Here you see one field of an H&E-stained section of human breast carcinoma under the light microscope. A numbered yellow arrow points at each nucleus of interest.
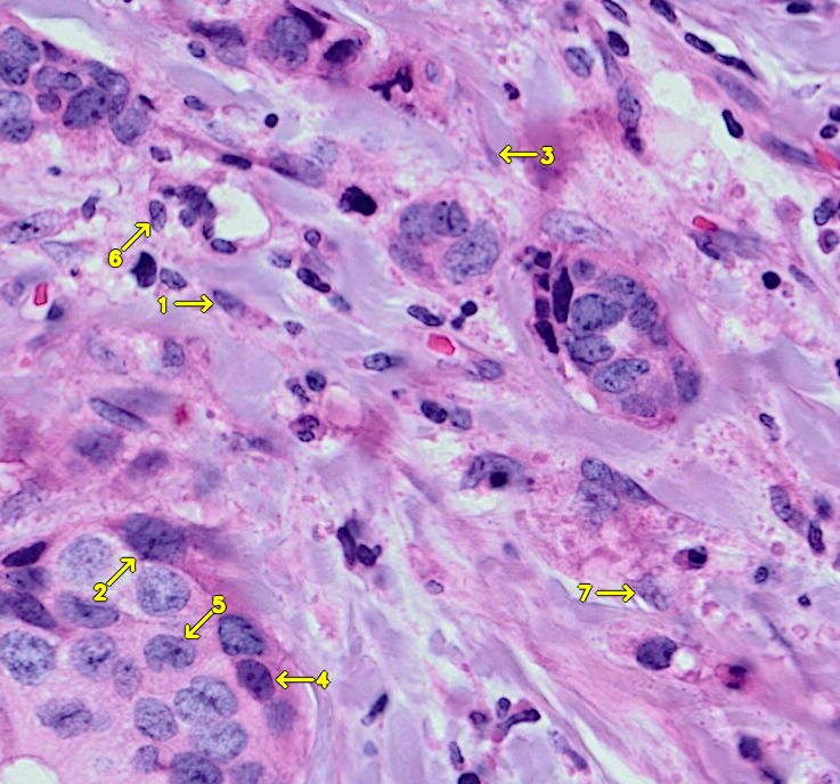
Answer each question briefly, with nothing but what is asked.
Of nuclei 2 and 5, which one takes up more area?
2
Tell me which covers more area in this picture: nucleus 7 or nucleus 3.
7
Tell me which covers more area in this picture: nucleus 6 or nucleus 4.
4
